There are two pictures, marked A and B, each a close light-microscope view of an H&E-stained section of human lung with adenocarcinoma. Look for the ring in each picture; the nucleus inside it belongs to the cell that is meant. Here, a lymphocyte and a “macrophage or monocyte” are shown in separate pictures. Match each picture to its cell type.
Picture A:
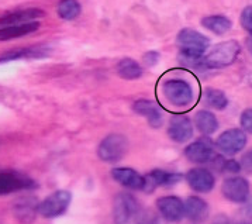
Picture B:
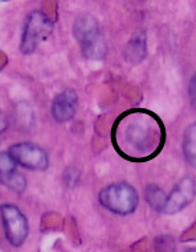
A: lymphocyte
B: macrophage or monocyte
